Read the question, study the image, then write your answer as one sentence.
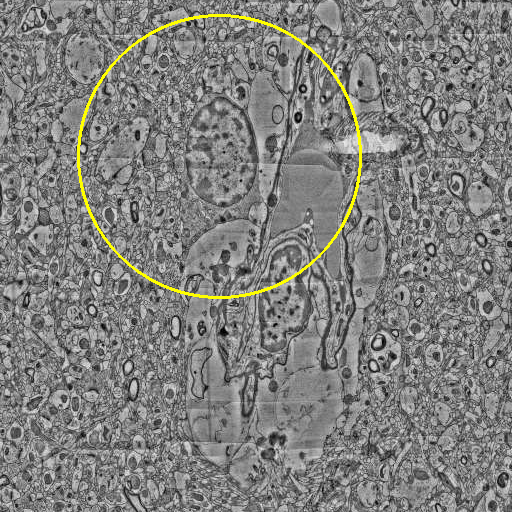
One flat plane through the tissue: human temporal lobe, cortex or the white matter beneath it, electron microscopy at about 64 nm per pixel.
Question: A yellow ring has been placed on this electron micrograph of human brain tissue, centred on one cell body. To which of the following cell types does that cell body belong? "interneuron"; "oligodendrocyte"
That cell body belongs to an oligodendrocyte.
